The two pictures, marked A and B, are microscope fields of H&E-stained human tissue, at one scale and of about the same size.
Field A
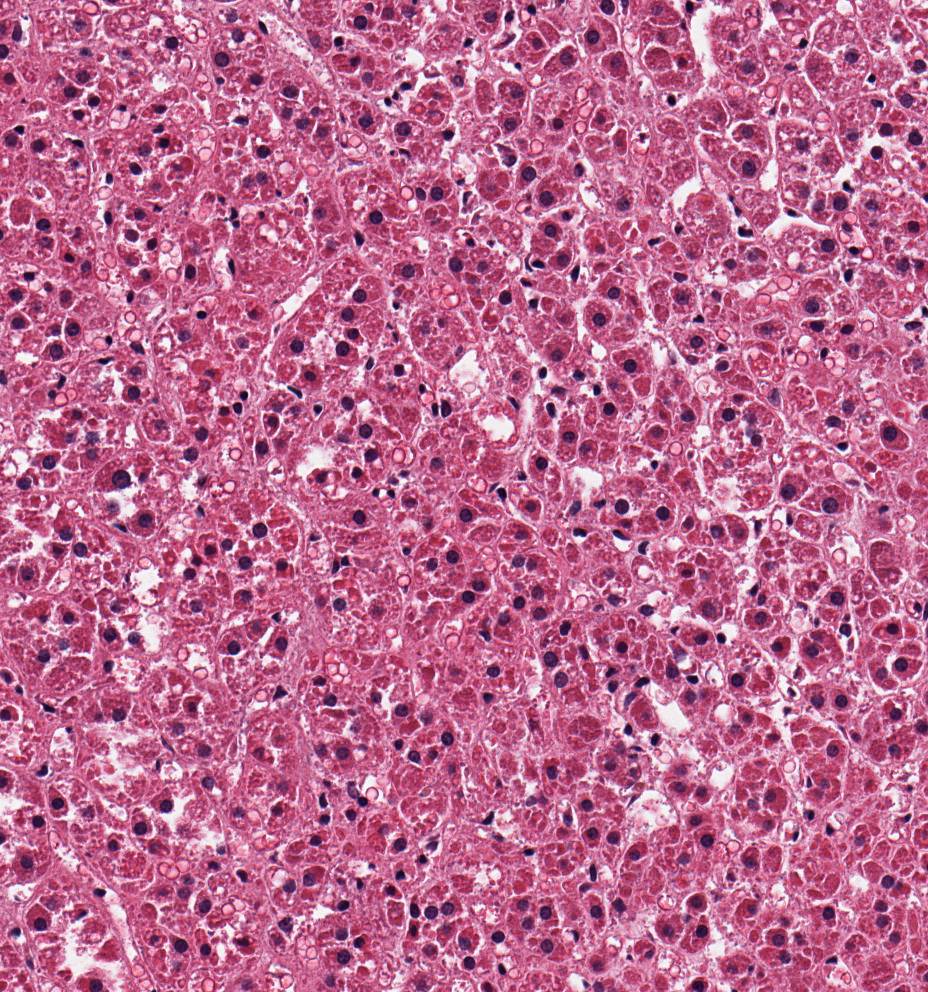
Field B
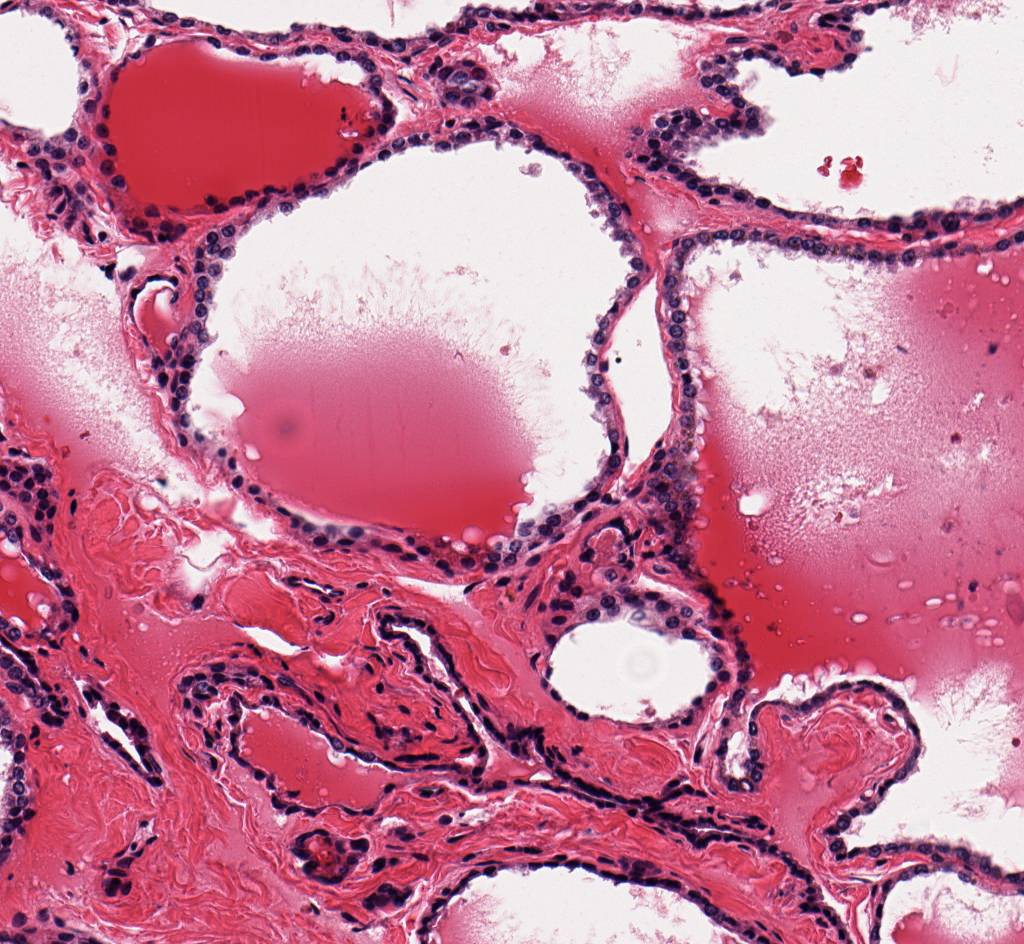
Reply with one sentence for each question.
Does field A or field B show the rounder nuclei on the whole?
It is field A whose nuclei are the rounder.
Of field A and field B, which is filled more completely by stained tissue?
Field A has less white space.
